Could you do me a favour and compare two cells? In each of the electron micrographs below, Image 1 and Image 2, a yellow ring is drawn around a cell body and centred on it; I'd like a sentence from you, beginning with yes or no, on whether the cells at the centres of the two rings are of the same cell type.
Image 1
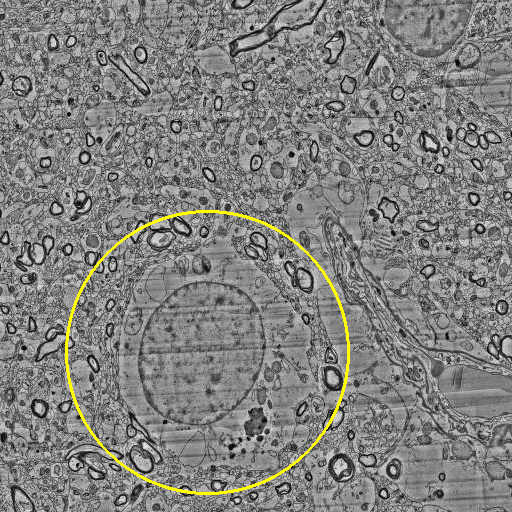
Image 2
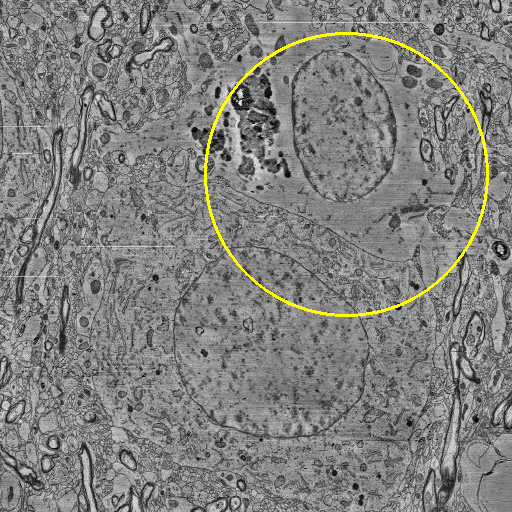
Yes, the two cells are of the same cell type.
